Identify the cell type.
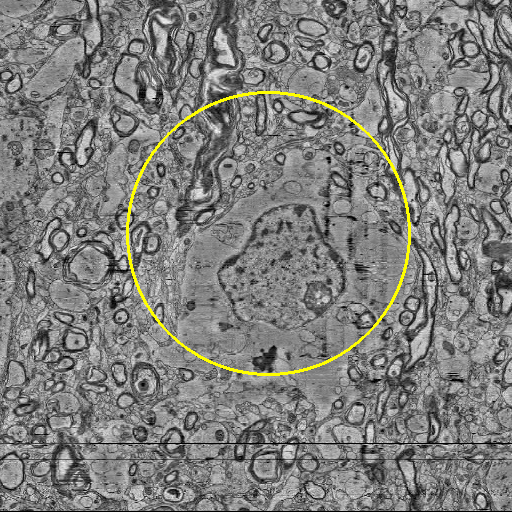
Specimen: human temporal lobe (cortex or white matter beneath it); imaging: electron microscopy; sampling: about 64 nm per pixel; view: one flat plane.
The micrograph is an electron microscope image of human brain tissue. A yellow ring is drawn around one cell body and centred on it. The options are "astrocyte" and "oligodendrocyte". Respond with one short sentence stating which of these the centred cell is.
The cell body in the ring belongs to an astrocyte.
